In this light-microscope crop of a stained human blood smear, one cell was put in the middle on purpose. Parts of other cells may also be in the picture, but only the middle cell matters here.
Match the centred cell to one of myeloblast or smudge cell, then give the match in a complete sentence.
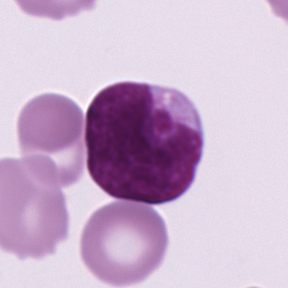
The crop's centre is taken up by a myeloblast.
